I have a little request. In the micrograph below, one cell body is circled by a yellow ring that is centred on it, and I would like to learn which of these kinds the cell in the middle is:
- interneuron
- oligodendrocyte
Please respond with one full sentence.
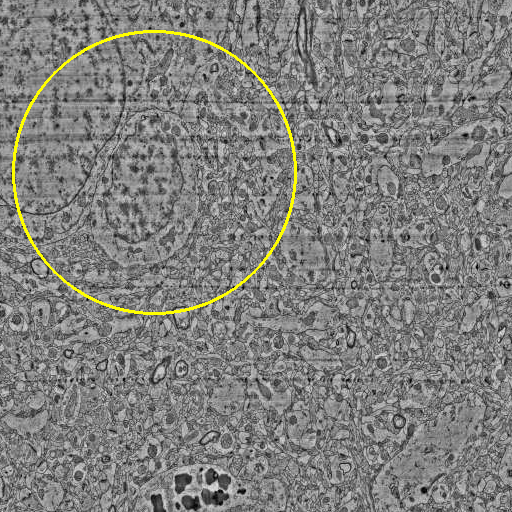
The cell sitting in the middle of the yellow ring in the micrograph is an interneuron.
